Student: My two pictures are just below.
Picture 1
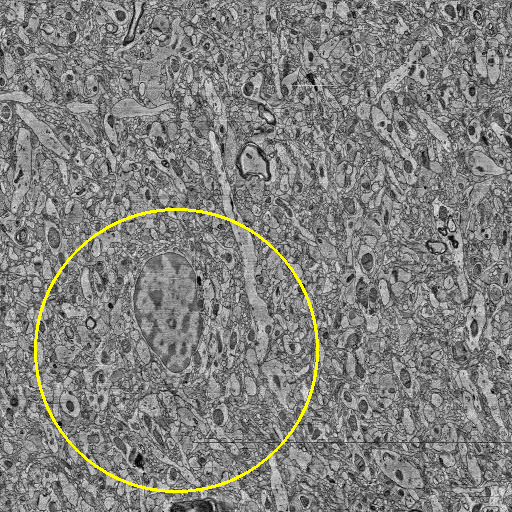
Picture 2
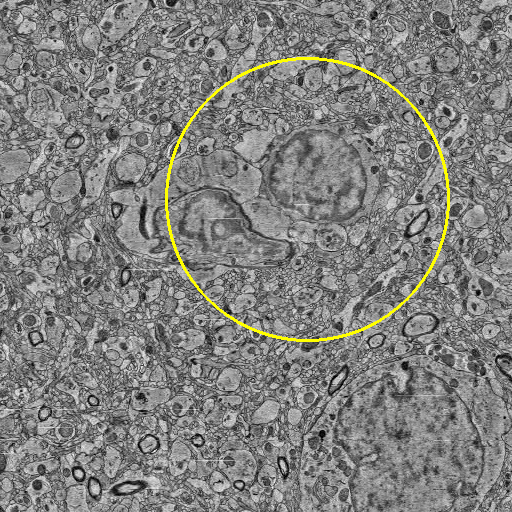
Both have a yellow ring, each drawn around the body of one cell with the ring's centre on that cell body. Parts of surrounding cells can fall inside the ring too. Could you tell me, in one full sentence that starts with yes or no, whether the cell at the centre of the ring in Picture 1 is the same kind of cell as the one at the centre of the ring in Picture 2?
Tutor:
No, the two cells are of two kinds.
